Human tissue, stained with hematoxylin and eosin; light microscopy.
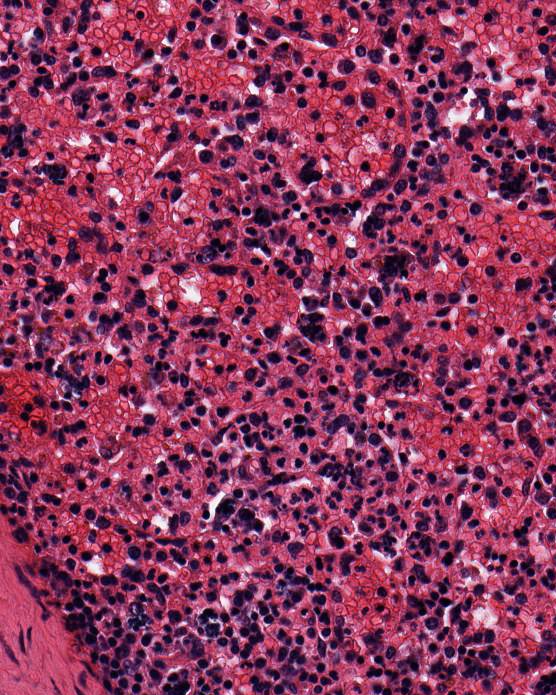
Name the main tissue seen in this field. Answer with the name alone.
red pulp of the spleen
